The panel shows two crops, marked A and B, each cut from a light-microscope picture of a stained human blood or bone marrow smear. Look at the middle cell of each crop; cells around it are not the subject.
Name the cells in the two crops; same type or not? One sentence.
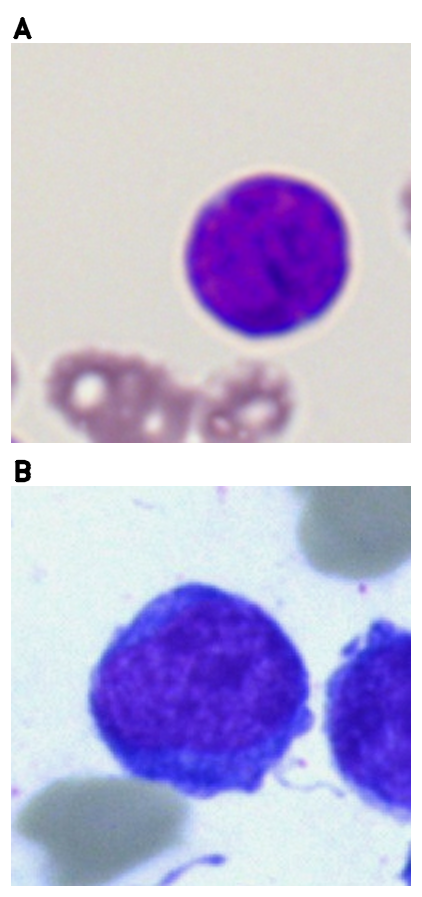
Yes, both crops show blasts at their middles.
